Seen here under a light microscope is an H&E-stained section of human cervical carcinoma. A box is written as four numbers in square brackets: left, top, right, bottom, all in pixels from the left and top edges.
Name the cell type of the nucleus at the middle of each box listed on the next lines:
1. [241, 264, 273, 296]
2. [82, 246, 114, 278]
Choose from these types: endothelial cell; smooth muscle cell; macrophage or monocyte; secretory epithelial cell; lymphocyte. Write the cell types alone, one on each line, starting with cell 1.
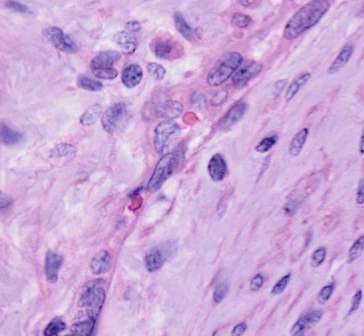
smooth muscle cell
endothelial cell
